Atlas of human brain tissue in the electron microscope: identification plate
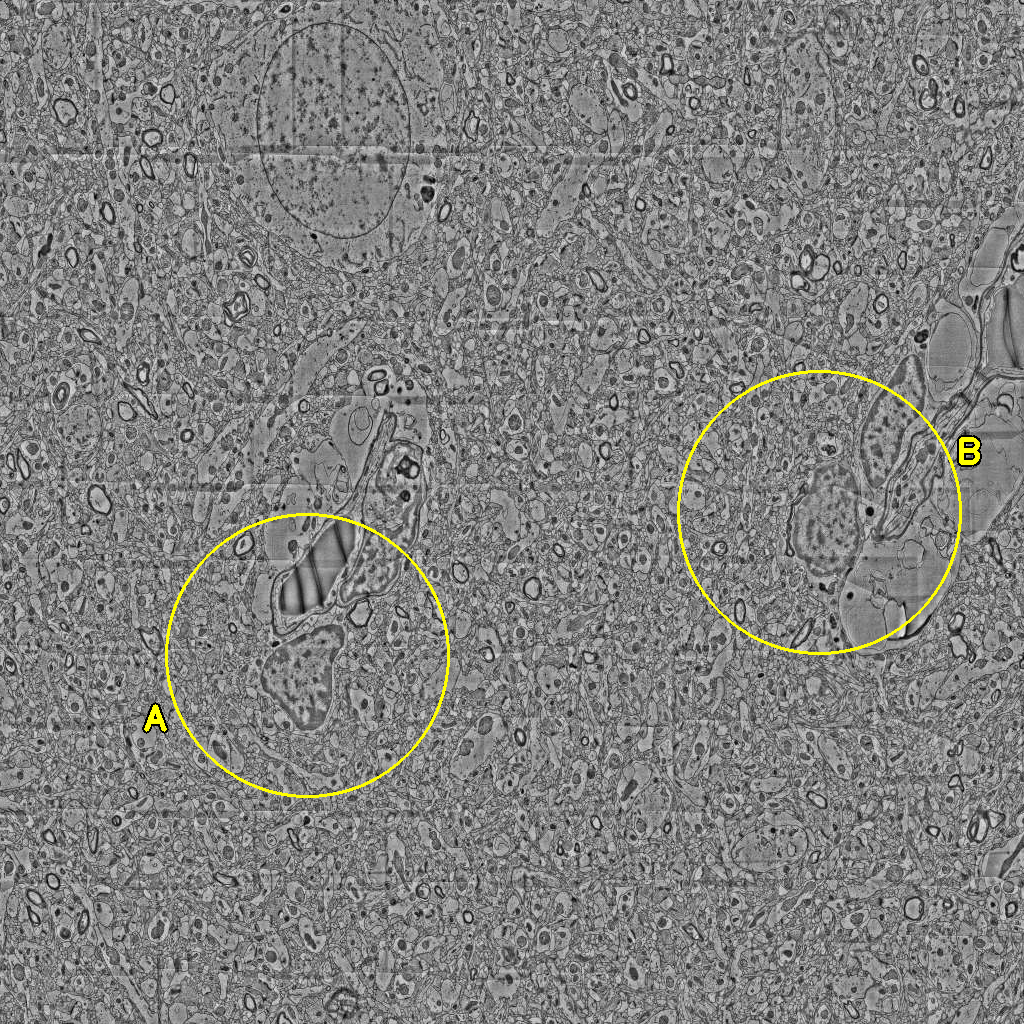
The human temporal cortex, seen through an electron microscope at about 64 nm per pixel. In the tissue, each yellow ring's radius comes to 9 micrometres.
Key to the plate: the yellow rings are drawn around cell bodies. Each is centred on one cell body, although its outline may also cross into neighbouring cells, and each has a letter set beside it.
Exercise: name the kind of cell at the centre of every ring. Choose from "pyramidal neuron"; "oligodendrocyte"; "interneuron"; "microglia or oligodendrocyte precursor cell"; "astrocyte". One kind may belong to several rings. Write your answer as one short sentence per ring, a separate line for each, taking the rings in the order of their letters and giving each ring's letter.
The centre of ring A is occupied by a microglial cell or oligodendrocyte precursor cell.
The centre of ring B is occupied by an oligodendrocyte.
